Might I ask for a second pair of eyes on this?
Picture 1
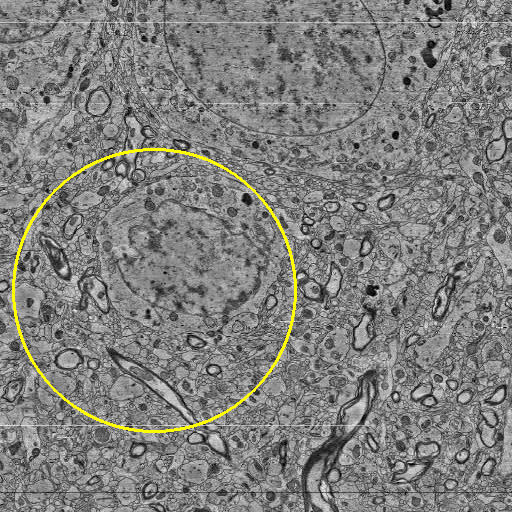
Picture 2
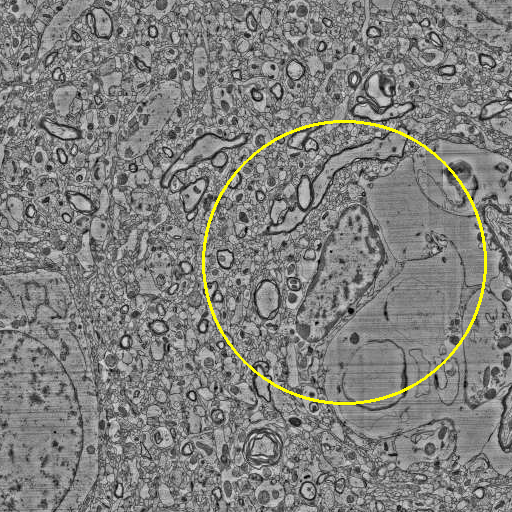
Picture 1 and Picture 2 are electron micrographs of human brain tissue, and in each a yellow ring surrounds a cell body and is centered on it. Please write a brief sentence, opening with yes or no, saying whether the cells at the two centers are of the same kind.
No, the cells are of two kinds.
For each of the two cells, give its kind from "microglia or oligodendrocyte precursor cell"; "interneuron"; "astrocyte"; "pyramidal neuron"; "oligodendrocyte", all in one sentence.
The first picture has an interneuron in its ring, the second has a microglial cell or oligodendrocyte precursor cell.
